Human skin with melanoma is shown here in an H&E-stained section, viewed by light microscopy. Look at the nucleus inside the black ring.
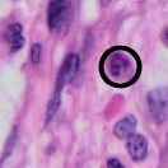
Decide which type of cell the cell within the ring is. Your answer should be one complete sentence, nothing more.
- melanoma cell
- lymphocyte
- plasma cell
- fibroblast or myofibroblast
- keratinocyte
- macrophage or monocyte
In the tissue under study, the cell within the ring is a plasma cell.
